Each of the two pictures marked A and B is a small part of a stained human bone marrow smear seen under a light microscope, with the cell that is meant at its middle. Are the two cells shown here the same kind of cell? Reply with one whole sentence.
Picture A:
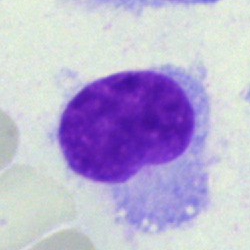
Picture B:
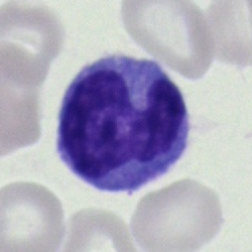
No. Picture A shows a hairy cell, but picture B shows a monocyte.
